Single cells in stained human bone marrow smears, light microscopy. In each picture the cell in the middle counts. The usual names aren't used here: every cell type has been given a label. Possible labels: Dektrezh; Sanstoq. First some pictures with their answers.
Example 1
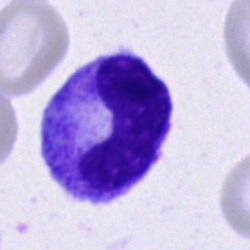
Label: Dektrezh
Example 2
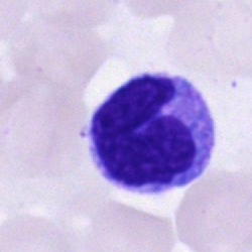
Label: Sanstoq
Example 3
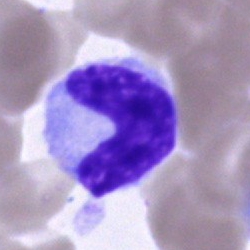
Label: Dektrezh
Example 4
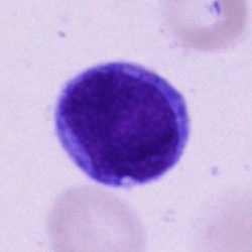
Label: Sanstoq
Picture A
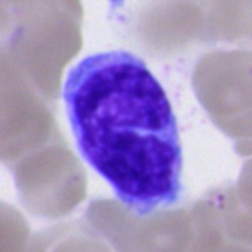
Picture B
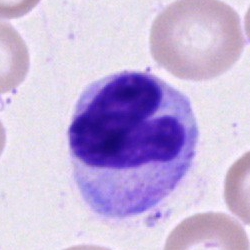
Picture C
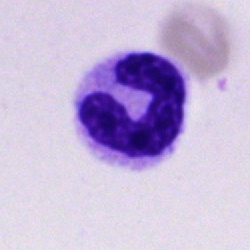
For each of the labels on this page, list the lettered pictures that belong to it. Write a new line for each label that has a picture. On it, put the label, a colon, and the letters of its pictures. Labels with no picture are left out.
Dektrezh: B, C
Sanstoq: A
